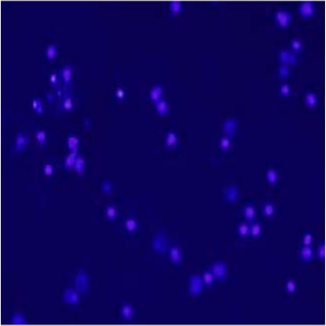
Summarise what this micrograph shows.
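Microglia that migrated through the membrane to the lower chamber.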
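The cells are numerous and scattered across the whole field, some lying singly and others in small loose clusters or short chains. Each profile is roughly round and of similar size, with no processes visible at this magnification. Some profiles appear brighter at their centre than at their rim.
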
